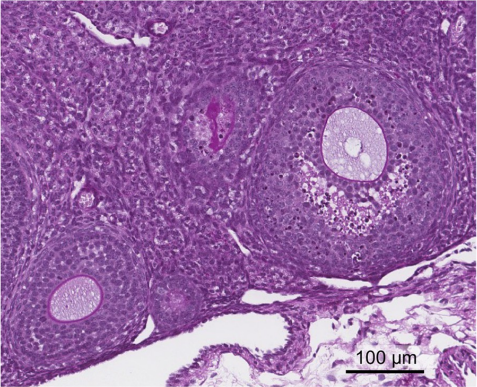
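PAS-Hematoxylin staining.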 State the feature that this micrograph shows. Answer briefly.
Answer: Growing follicles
